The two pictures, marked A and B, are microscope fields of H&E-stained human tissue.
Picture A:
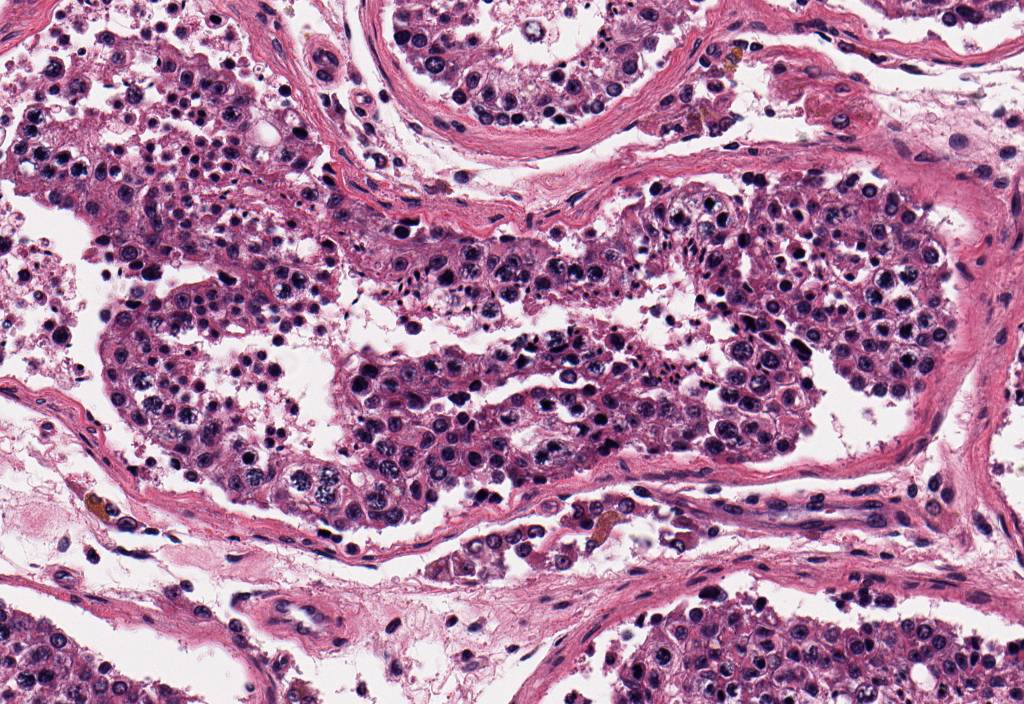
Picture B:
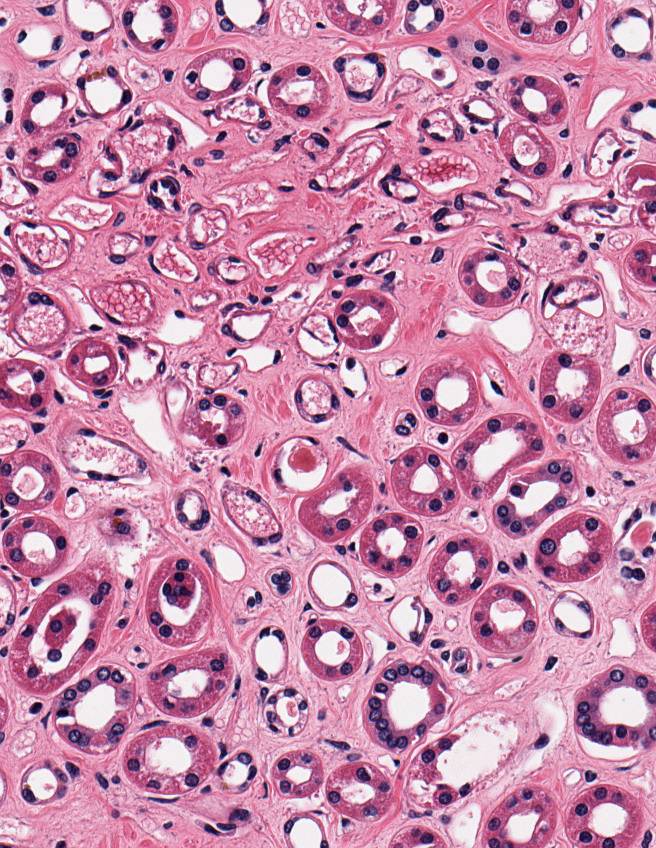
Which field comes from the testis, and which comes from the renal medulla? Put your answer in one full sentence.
Picture A comes from the testis and picture B comes from the renal medulla.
